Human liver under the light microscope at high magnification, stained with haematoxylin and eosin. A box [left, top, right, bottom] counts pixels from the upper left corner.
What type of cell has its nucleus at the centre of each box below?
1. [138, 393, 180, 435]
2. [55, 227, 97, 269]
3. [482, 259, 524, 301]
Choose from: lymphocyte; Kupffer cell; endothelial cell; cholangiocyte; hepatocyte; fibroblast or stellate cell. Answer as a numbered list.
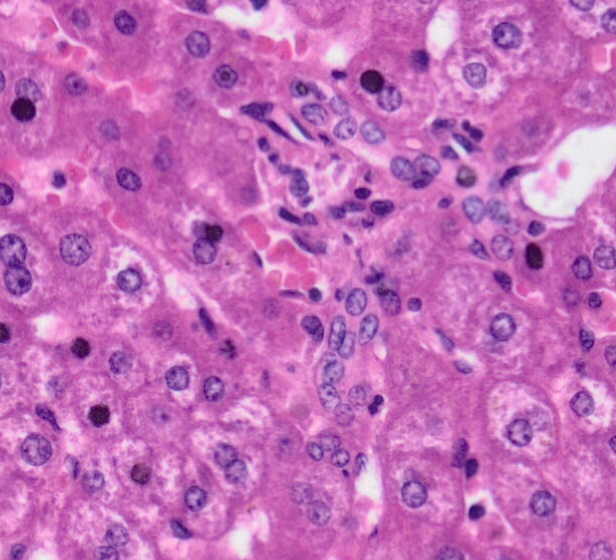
1. hepatocyte
2. hepatocyte
3. fibroblast or stellate cell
